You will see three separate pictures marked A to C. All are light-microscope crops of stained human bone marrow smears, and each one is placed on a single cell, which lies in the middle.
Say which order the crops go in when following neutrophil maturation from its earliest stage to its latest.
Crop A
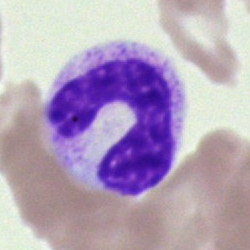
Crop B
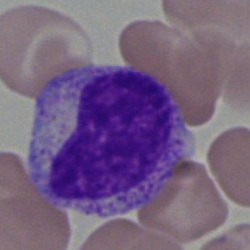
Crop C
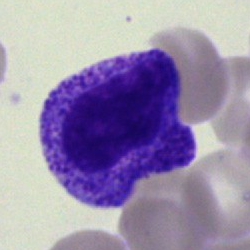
C, B, A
